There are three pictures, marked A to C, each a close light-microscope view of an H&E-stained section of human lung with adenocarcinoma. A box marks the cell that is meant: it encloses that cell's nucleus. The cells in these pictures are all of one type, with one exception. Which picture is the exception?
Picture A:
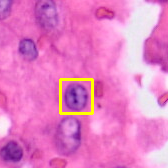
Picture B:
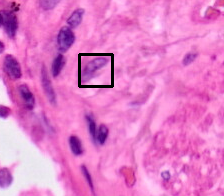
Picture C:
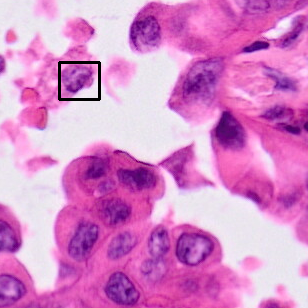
B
